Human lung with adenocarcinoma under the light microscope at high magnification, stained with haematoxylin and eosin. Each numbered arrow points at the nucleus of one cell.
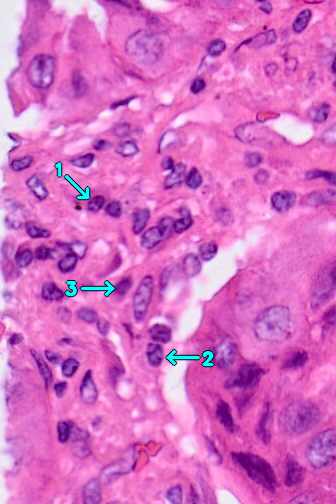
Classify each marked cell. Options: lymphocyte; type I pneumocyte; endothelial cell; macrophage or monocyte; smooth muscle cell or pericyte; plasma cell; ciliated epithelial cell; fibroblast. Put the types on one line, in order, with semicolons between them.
plasma cell; lymphocyte; plasma cell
